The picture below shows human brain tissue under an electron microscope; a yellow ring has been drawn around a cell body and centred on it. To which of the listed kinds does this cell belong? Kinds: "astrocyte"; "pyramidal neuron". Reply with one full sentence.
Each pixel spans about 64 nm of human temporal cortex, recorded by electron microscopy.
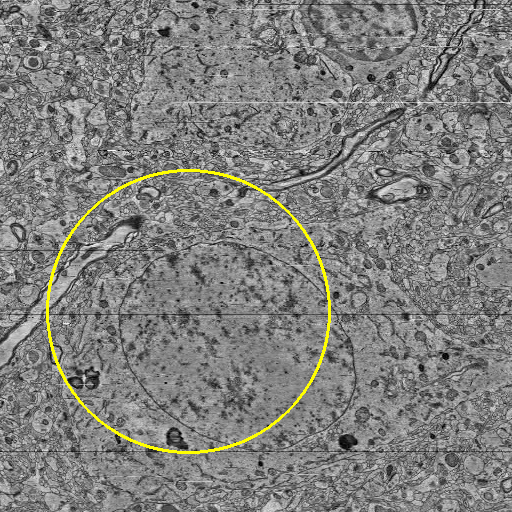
It is a pyramidal neuron that the yellow ring in the picture is centred on.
